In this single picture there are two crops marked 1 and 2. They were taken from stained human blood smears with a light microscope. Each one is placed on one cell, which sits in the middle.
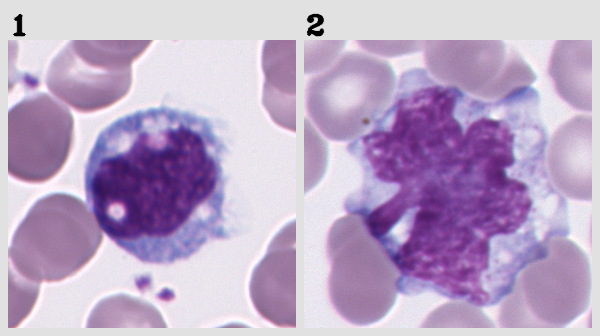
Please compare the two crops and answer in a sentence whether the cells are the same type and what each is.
Yes, for both crops, the central cells are monocytes.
